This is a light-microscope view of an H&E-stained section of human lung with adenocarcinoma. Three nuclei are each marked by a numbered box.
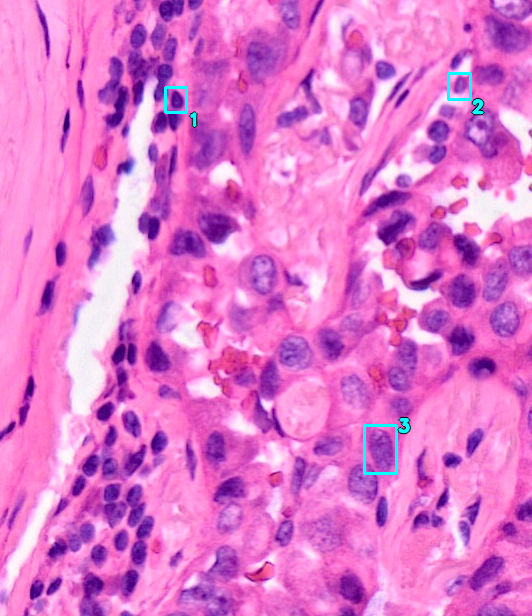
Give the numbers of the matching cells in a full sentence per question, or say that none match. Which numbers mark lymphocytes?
Into the category of lymphocytes fall the cells numbered 1 and 2.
